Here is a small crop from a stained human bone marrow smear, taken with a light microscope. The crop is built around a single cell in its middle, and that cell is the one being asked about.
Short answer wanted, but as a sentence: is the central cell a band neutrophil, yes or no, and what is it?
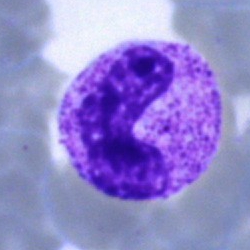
Yes, the cell in the middle has the identity of a band neutrophil.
